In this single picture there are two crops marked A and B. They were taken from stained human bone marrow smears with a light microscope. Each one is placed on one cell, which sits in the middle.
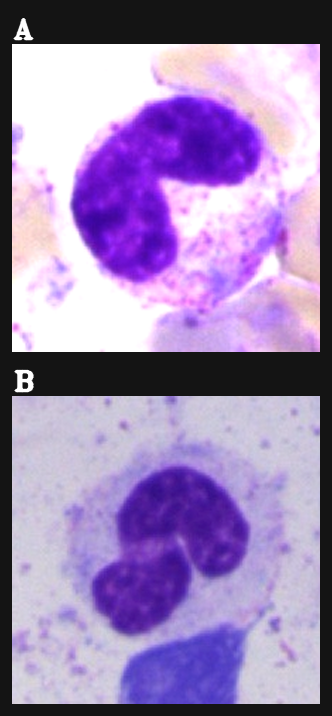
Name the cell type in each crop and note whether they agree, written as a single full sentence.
Yes, both crops in the pair show band neutrophils.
